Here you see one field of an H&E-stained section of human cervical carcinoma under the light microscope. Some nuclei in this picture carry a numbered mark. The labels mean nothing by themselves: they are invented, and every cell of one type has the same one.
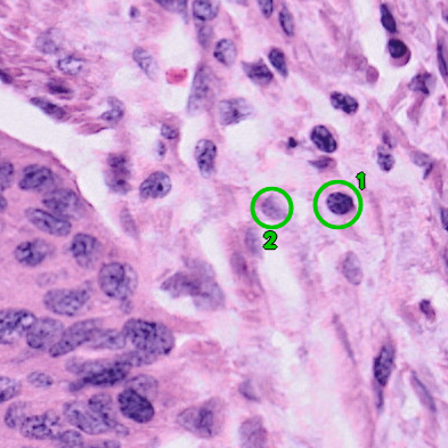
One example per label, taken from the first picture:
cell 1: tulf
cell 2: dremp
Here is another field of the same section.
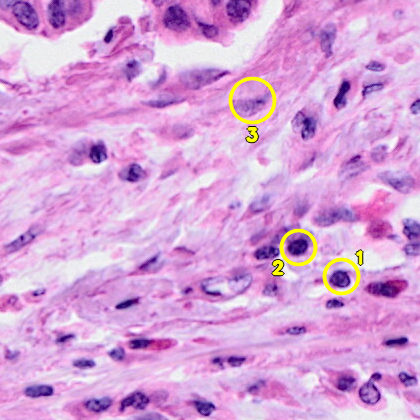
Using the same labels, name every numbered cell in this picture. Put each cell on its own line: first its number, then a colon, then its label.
1: tulf
2: tulf
3: dremp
